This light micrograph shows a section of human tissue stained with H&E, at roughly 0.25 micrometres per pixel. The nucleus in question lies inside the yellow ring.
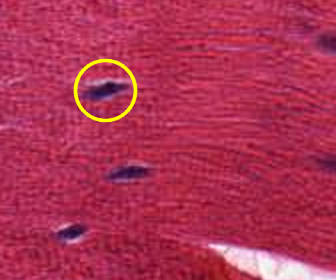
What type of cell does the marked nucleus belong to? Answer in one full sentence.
In this picture it is a skeletal muscle fibre whose nucleus is marked.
